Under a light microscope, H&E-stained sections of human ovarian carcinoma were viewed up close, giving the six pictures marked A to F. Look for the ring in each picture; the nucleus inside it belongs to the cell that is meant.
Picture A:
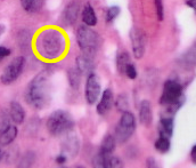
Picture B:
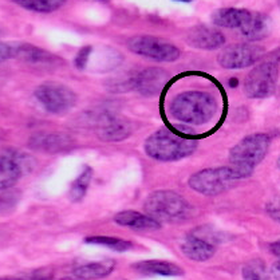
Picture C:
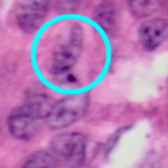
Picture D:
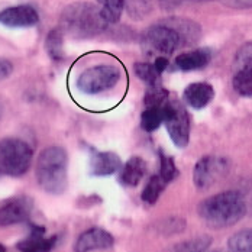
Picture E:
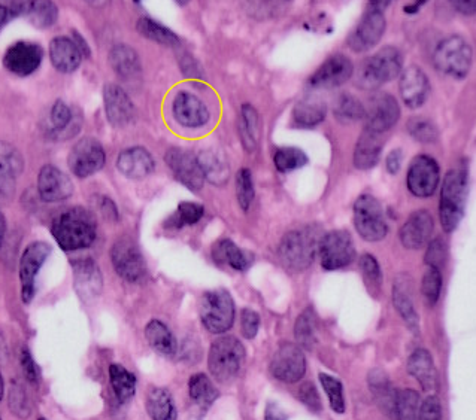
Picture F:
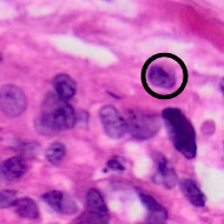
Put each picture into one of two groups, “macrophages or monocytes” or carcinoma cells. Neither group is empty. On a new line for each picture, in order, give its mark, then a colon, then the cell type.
A: carcinoma cell
B: carcinoma cell
C: macrophage or monocyte
D: macrophage or monocyte
E: macrophage or monocyte
F: macrophage or monocyte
